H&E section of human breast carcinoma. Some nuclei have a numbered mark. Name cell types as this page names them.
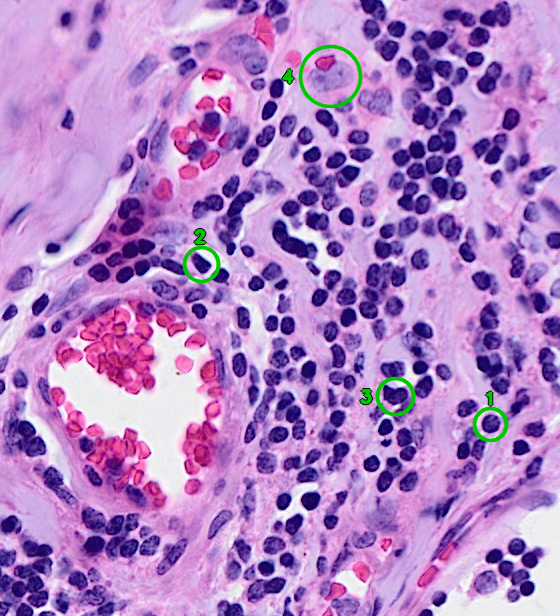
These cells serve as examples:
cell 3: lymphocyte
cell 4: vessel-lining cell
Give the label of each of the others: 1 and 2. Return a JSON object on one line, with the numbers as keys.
{"1": "lymphocyte", "2": "lymphocyte"}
